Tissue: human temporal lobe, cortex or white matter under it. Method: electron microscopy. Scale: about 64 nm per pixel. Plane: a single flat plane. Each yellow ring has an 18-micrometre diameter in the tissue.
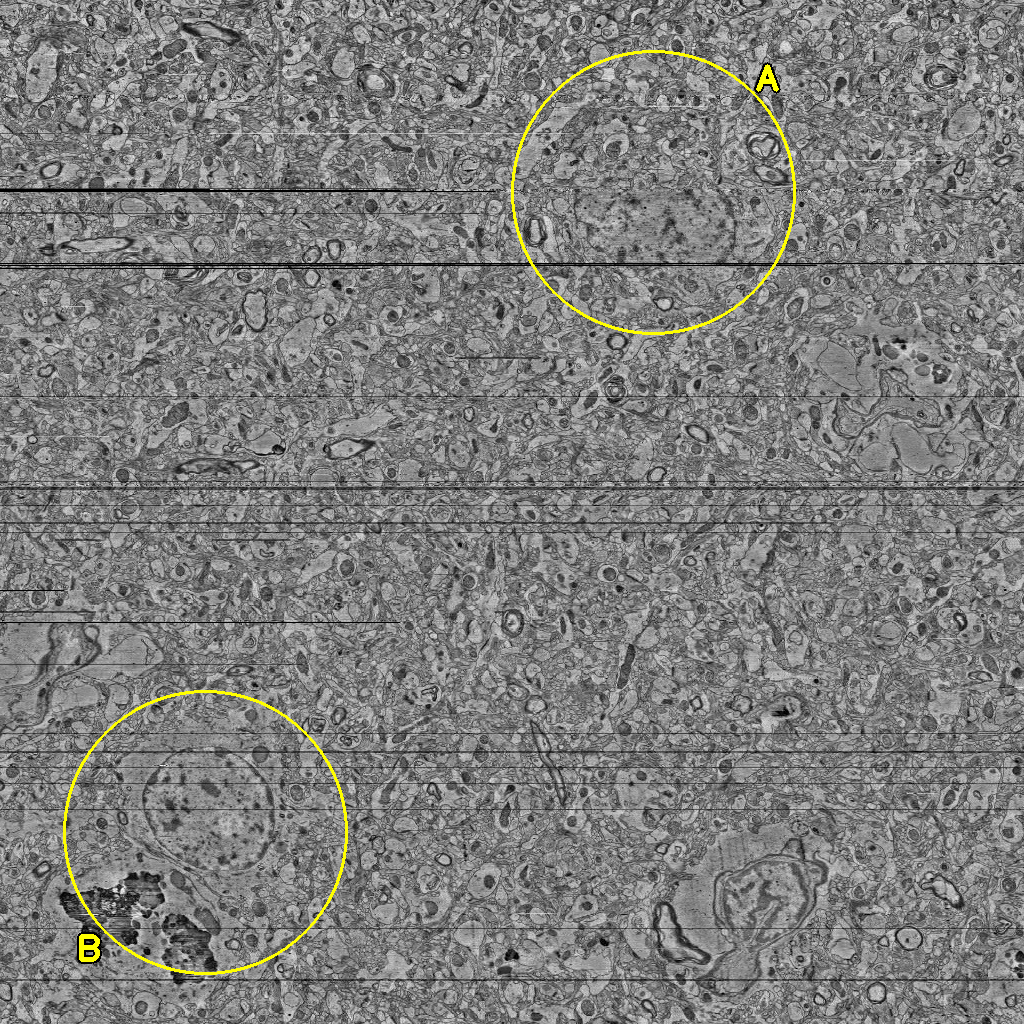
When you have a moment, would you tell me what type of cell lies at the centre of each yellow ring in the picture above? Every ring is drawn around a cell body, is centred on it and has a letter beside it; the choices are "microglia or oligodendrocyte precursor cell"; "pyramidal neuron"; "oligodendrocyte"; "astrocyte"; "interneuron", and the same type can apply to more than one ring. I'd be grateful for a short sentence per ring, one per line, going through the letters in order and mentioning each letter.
The cell at the centre of ring A is an interneuron.
The cell at the centre of ring B is an astrocyte.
